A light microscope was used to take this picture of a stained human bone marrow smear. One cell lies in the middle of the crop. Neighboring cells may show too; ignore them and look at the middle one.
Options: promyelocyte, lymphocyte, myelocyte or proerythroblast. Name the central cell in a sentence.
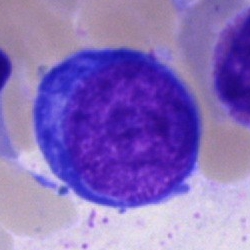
Here the centrally located cell is a proerythroblast.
